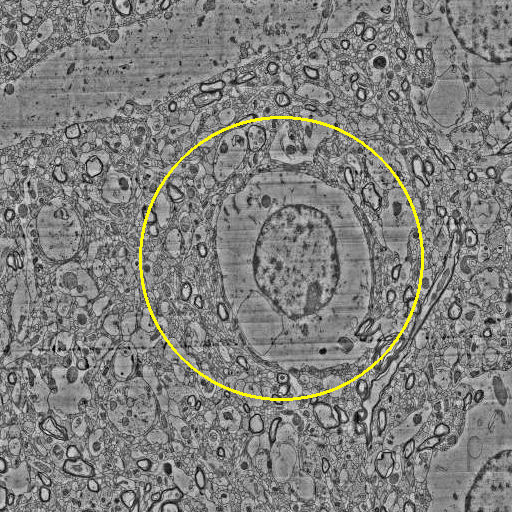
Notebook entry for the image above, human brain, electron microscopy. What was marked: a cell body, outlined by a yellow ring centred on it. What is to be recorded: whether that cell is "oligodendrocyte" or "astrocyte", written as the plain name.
astrocyte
